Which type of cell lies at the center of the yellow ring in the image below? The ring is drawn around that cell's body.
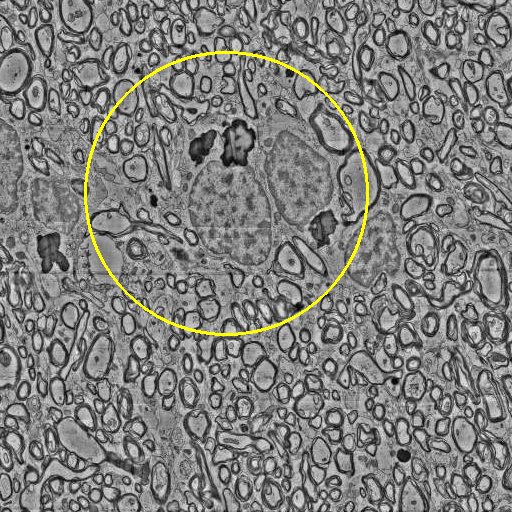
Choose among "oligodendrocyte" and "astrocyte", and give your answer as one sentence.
The cell body at the center belongs to an oligodendrocyte.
